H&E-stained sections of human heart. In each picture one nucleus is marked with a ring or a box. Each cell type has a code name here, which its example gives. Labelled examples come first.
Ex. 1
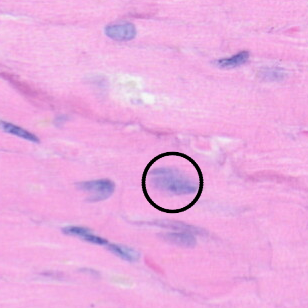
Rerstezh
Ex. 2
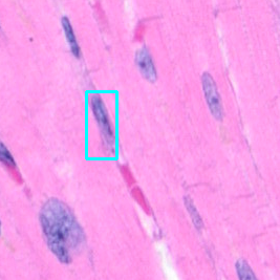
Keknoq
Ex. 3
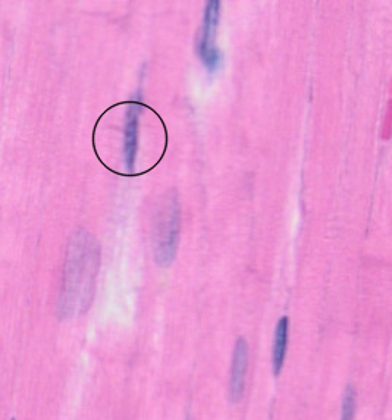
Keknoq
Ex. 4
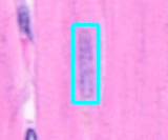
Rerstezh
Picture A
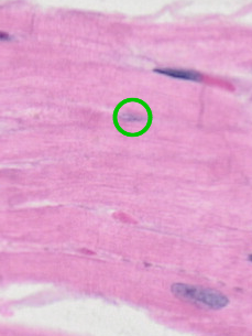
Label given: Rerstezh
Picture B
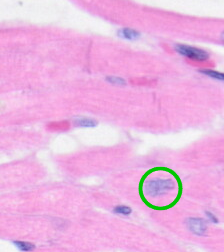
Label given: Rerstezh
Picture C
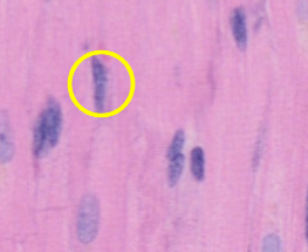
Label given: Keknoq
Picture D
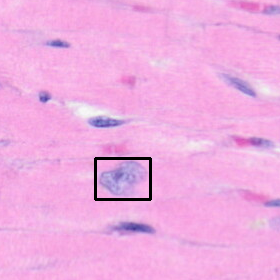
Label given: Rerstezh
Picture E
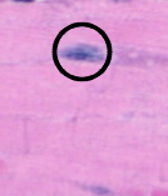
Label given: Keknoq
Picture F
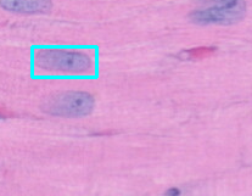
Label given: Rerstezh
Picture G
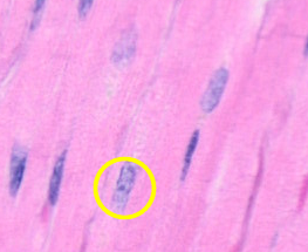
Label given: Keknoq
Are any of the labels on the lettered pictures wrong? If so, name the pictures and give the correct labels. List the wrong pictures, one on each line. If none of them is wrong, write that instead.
G should be Rerstezh, not Keknoq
